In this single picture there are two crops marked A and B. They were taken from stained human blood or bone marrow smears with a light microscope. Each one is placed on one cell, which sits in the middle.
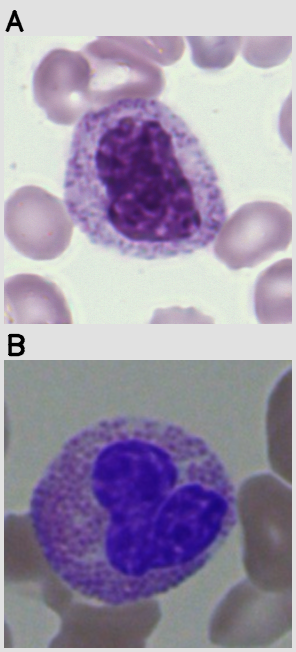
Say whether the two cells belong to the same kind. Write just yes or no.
no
